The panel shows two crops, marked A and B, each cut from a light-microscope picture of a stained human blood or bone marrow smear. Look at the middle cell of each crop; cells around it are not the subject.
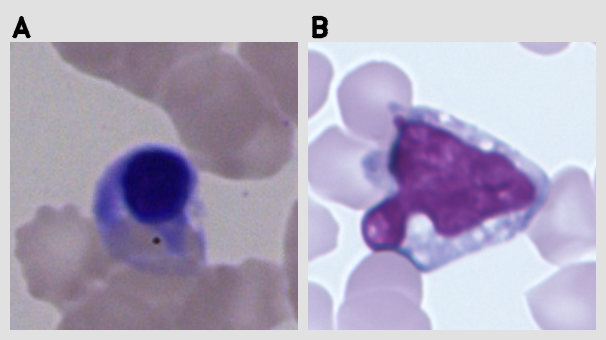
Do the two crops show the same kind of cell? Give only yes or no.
no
